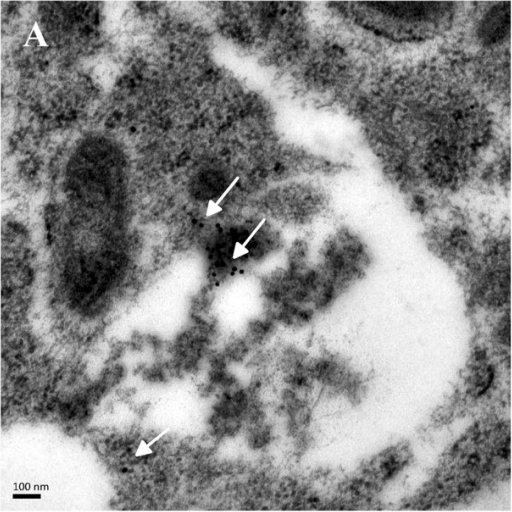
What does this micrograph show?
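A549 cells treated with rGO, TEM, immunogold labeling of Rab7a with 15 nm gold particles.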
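Transmission electron micrograph of cell cytoplasm dominated by a large vacuole. The vacuole is a wide, electron-lucent space bounded by a membrane and partly filled with grey, flocculent and clumped material. To its left lies an elongated mitochondrion with a dense matrix and faint cristae, and the surrounding cytoplasm is finely granular with scattered ribosomes.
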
